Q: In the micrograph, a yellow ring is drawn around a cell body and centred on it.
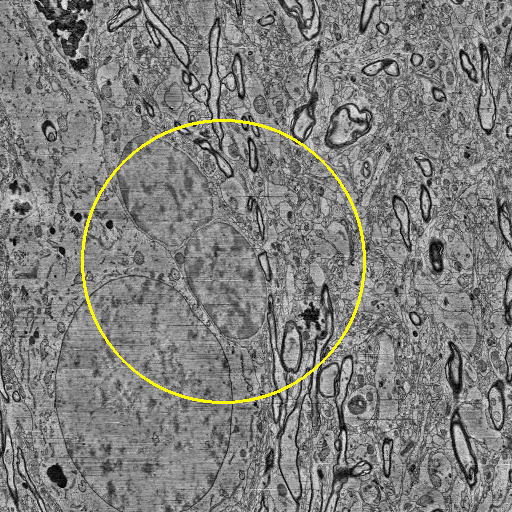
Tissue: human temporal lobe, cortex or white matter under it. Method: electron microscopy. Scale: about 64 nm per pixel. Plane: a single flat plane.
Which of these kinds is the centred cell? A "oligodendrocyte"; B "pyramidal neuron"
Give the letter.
A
